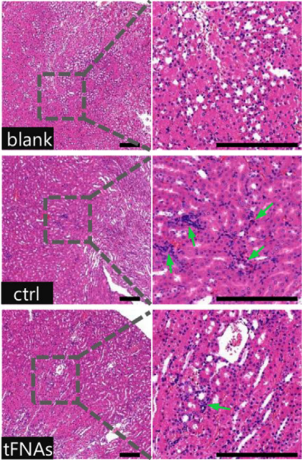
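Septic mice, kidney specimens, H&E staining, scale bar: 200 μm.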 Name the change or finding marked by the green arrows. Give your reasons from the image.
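The green arrows point to tight clusters of small dark-blue nuclei between the tubules. These clusters stand out against the pink tubular epithelium. So: inflammatory cell infiltration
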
